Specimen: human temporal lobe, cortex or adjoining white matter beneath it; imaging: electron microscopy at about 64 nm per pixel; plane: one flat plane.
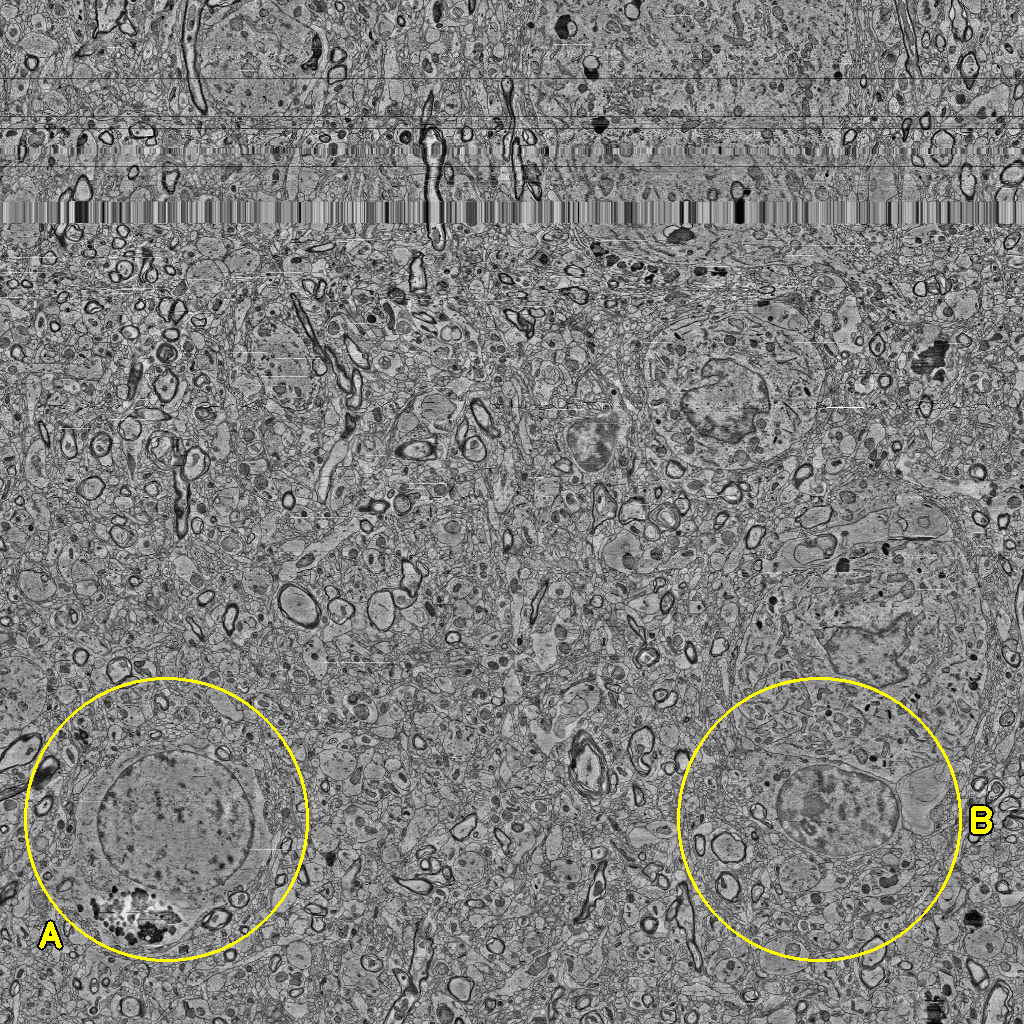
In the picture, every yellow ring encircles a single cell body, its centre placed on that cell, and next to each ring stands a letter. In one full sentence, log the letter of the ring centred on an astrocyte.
The ring with the requested cell at its centre bears the letter A.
